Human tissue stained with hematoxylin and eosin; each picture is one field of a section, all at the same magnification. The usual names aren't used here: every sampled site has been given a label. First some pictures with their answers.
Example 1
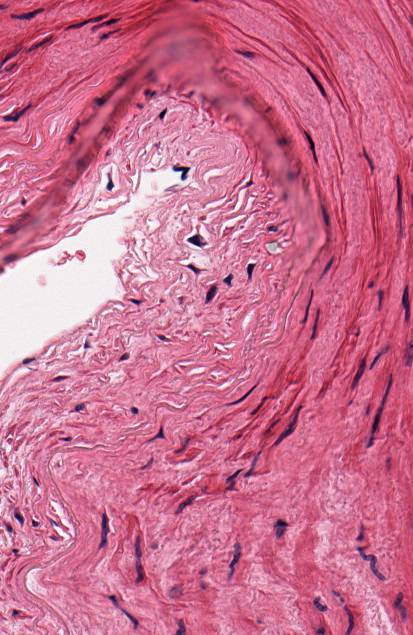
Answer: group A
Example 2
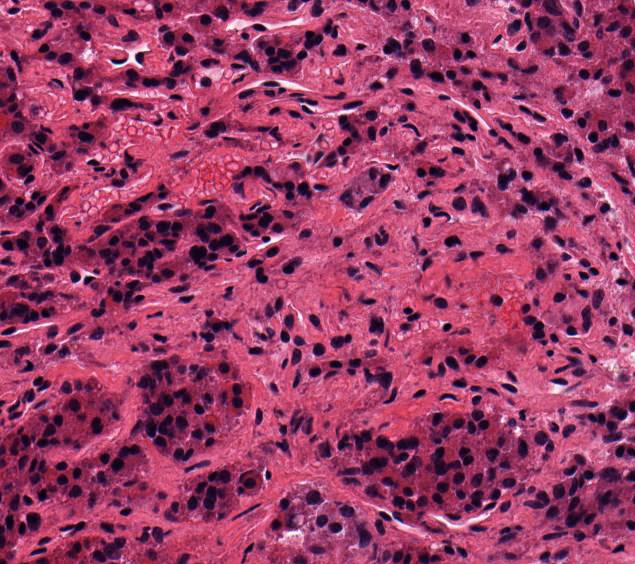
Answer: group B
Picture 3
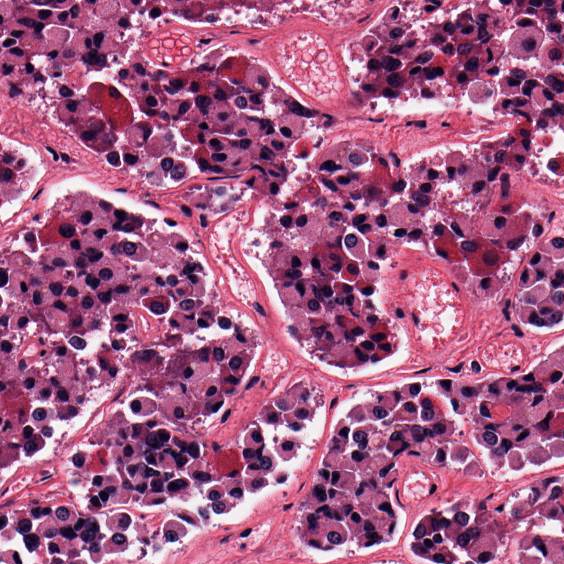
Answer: group B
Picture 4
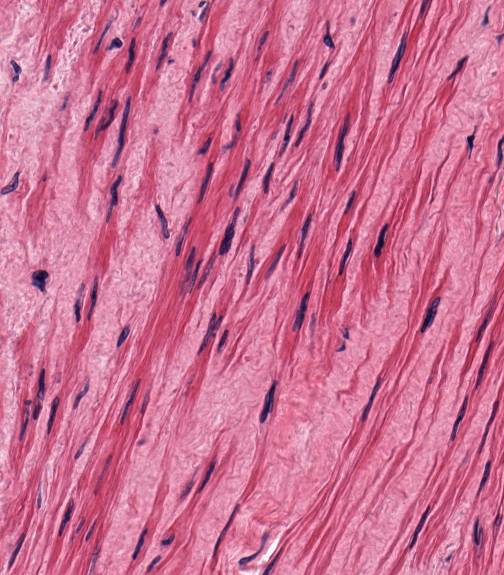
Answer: group A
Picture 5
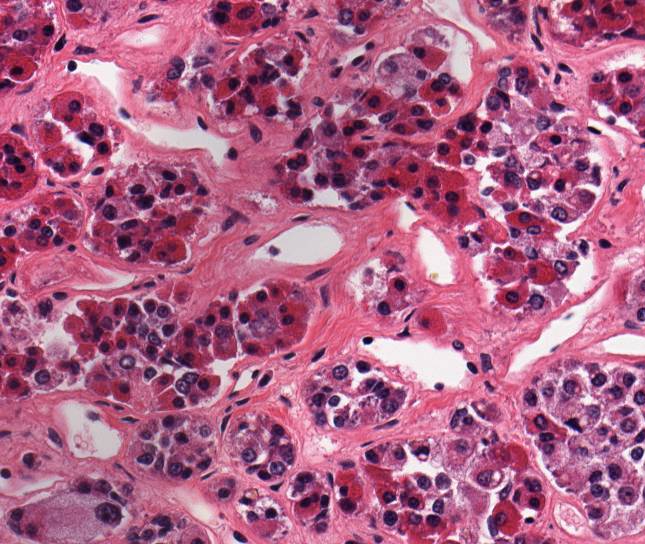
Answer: group B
